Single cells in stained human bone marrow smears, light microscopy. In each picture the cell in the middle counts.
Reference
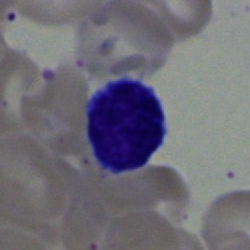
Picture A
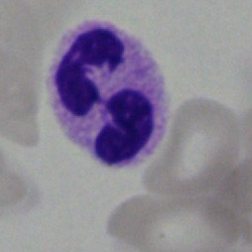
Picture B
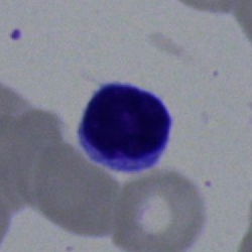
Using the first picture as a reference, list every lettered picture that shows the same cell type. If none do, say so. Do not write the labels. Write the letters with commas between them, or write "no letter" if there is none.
B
